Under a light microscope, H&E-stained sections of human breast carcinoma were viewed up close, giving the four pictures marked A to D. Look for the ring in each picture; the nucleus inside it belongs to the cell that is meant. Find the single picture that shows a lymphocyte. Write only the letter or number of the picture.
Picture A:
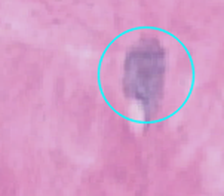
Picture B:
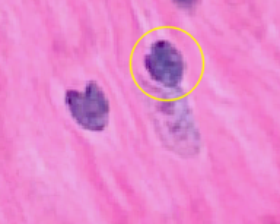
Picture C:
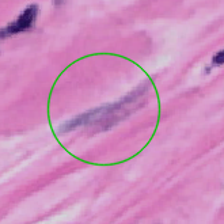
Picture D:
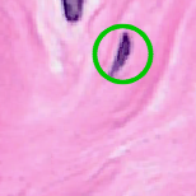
B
